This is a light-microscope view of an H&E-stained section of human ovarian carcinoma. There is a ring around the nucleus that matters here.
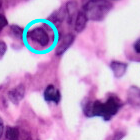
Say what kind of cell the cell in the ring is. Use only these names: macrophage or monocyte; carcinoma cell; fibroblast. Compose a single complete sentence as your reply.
In this tissue section, the cell in the ring is to be classed as a carcinoma cell.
